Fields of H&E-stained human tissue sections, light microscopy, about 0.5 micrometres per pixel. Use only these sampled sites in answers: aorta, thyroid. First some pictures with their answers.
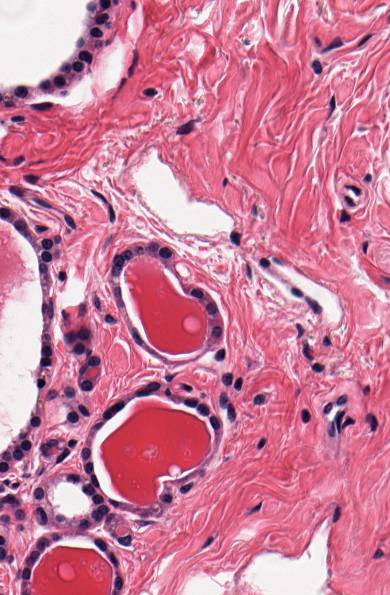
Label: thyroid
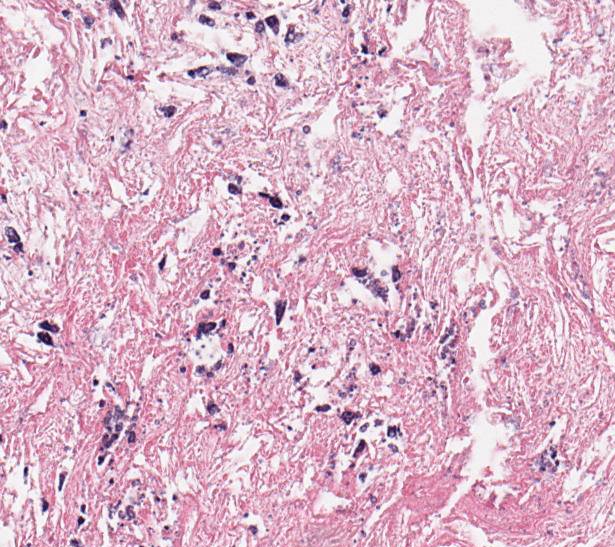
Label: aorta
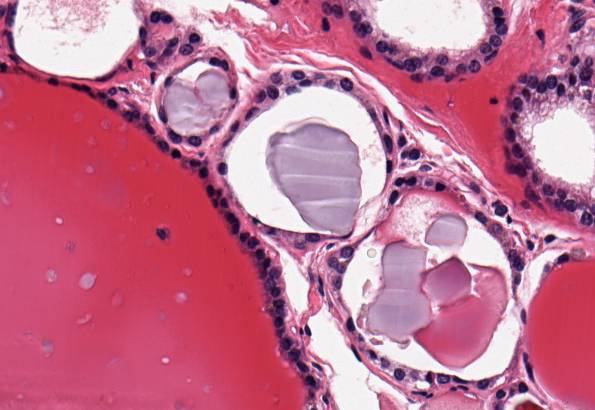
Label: thyroid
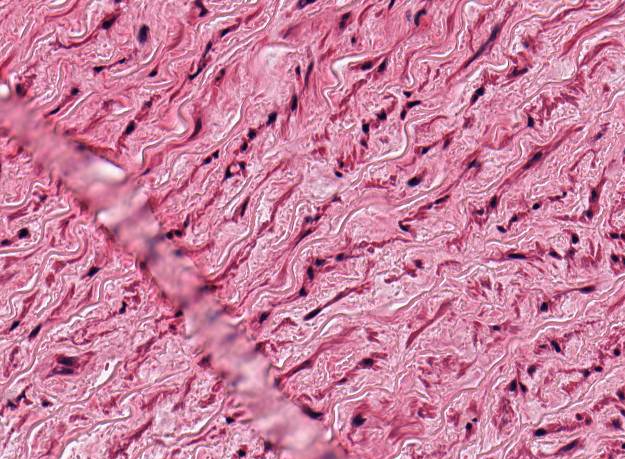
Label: aorta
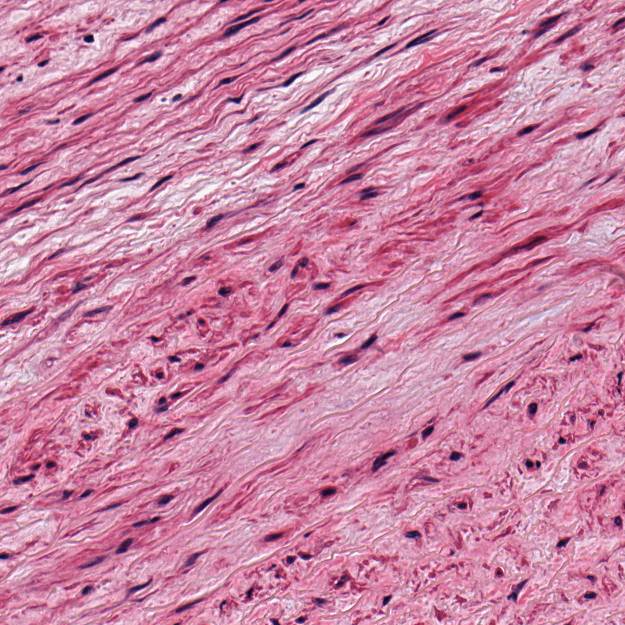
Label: aorta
